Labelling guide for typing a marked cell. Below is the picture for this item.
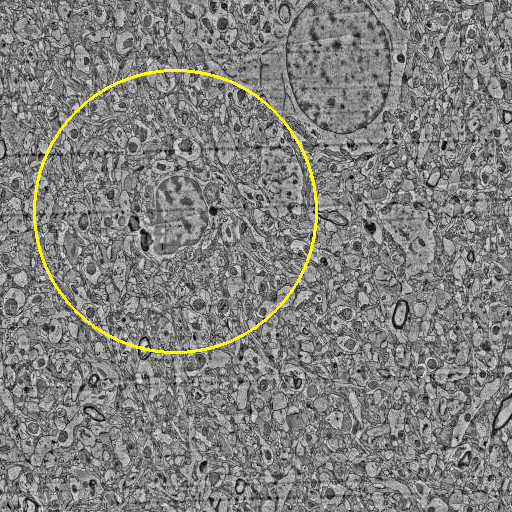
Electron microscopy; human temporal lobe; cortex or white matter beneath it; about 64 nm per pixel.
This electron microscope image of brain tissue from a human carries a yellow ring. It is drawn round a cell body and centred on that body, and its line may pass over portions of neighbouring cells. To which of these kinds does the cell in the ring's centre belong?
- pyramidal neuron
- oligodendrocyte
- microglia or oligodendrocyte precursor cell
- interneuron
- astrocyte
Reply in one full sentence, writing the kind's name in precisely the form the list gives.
Here we have a microglial cell or oligodendrocyte precursor cell at the centre of the yellow ring in the picture.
